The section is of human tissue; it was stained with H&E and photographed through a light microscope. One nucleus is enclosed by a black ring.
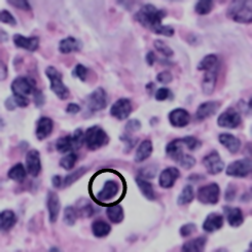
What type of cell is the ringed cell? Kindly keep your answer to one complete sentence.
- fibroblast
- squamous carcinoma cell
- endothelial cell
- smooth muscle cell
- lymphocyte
Considered by cell type, the ringed cell is a lymphocyte.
